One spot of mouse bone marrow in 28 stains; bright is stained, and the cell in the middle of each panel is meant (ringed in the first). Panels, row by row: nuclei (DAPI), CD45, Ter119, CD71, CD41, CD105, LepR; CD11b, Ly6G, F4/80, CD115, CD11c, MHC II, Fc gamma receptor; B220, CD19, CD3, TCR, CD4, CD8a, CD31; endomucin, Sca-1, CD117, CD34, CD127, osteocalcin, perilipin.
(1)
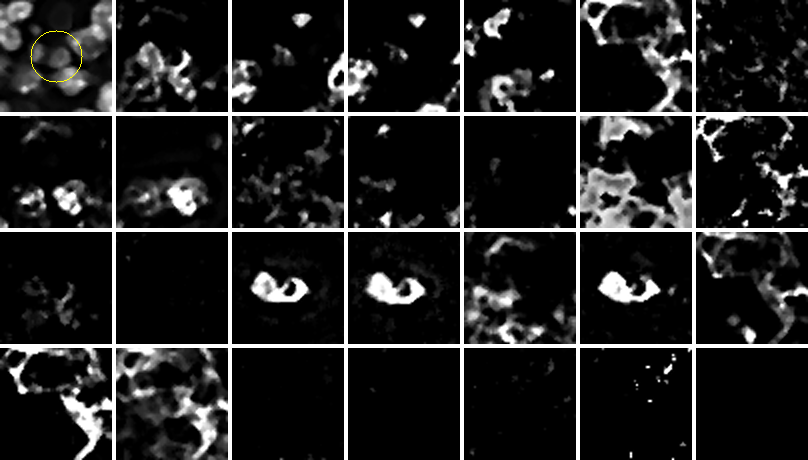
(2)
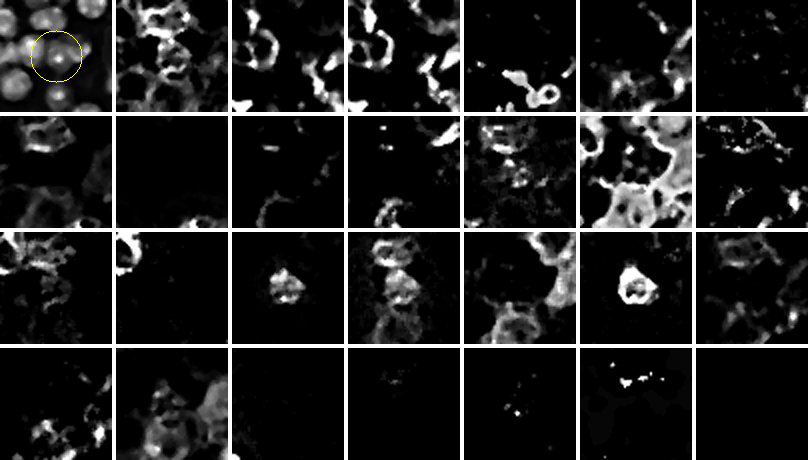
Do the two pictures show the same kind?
Yes, both are CD8 T cells.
